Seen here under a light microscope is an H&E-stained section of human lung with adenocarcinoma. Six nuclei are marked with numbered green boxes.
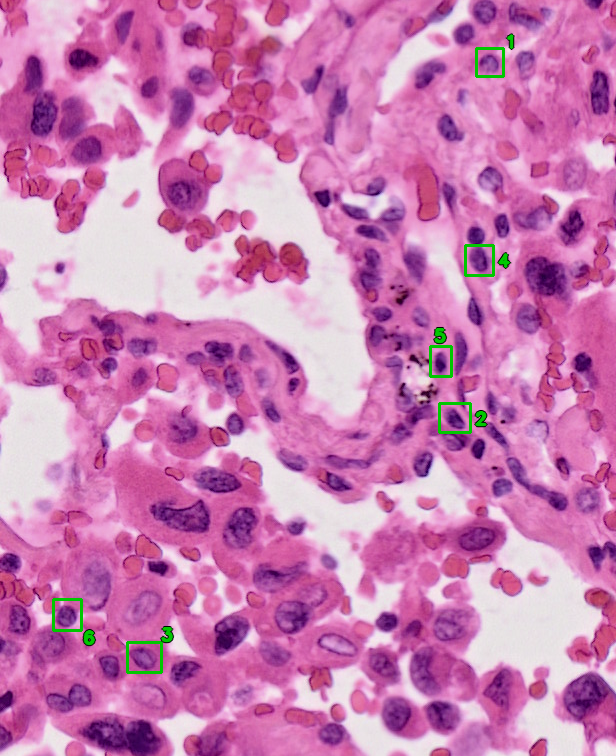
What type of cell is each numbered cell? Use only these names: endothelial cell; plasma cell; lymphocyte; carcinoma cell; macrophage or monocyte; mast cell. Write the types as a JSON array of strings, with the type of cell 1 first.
["mast cell", "lymphocyte", "macrophage or monocyte", "lymphocyte", "lymphocyte", "lymphocyte"]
